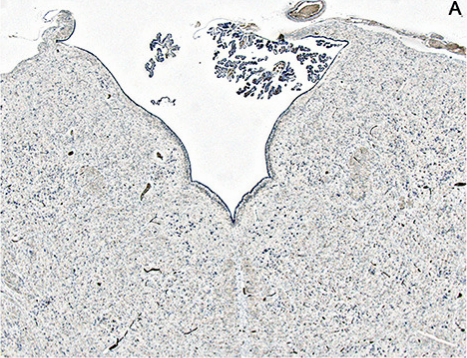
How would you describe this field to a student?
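The ventricular floor is edged by a thin dark line, and the open ventricle above it contains fronds of dark blue tissue. The surrounding tissue is pale grey-beige, with many small dark blue dots scattered through it that mark stained cell bodies, too small at this magnification to show individual cell shapes. A faint midline seam runs downward from the point of the V. Small blood vessels appear as short dark elongated profiles scattered through the tissue.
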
